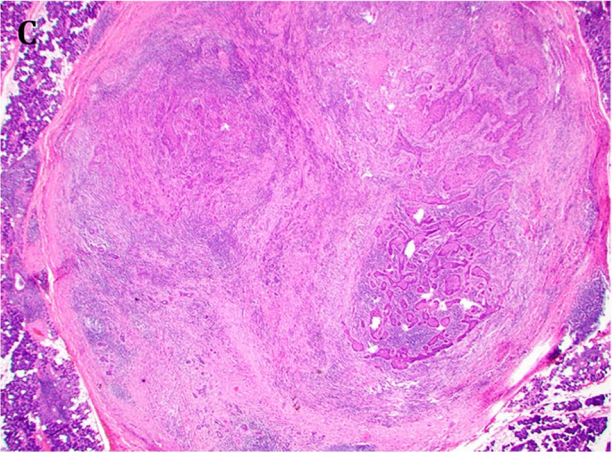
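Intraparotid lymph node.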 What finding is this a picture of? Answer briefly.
Nodular circumscription.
